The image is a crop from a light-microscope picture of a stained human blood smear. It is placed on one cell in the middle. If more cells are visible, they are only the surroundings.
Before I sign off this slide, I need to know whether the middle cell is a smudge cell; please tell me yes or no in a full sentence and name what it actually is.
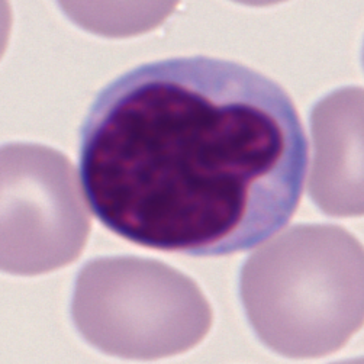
No, the central cell here is a typical lymphocyte; calling it a smudge cell is not right.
